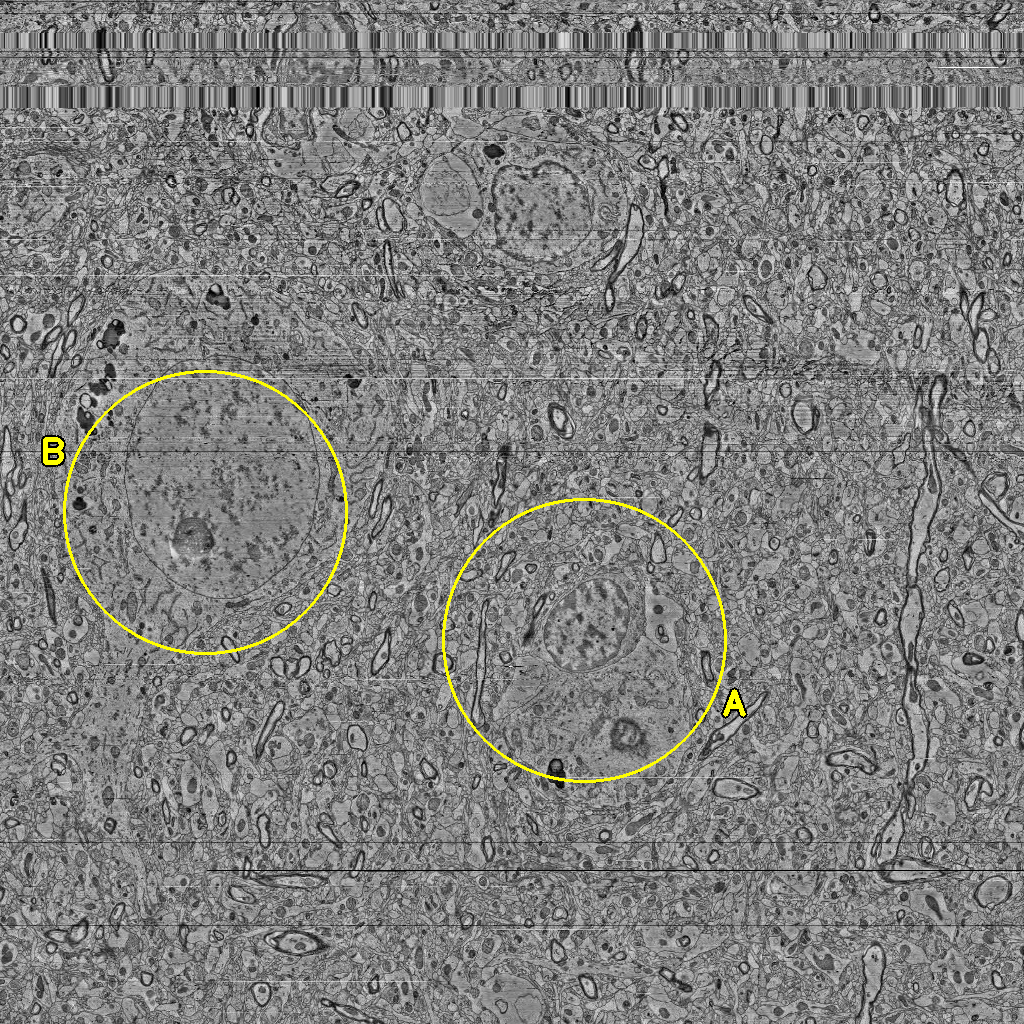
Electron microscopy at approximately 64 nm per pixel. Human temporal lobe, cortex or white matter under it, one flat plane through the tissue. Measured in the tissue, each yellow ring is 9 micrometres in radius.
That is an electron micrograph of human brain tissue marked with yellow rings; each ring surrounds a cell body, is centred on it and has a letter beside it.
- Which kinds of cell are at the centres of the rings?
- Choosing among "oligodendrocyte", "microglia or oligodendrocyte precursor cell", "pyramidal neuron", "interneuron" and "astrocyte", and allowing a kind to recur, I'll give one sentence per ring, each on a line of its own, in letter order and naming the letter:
Ring A sits around an oligodendrocyte.
Ring B sits around a pyramidal neuron.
